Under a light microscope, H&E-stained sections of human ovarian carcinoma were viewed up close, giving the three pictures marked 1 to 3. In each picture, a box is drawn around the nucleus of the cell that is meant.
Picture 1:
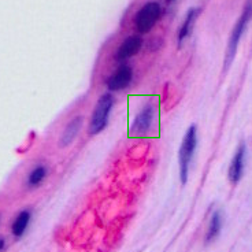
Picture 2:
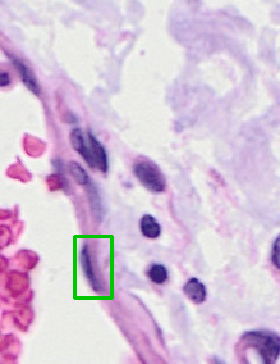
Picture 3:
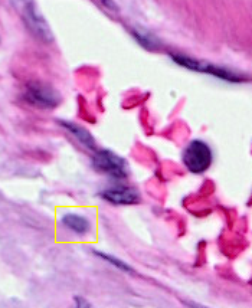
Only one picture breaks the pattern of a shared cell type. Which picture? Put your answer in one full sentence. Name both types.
Picture 3 is the odd one out: it shows a lymphocyte, while the others show endothelial cells.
